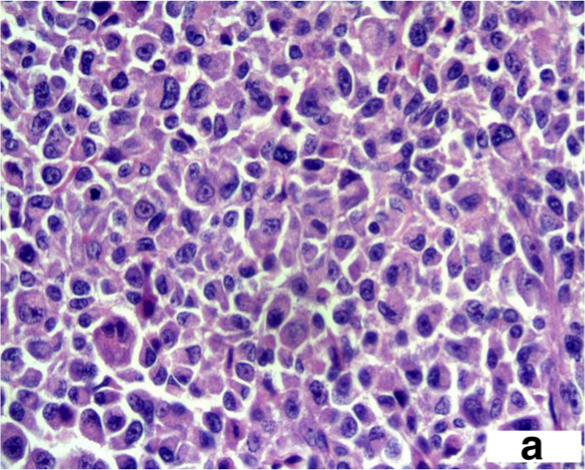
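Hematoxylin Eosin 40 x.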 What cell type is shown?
Neoplastic mononuclear cells.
